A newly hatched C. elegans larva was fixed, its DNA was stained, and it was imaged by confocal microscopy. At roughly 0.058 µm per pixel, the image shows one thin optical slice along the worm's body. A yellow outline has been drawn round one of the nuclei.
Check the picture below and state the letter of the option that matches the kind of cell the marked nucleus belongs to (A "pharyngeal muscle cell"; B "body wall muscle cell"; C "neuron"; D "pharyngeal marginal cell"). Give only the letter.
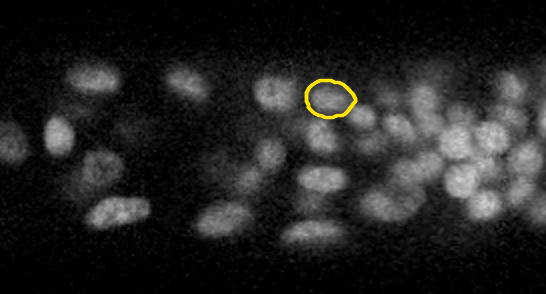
B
